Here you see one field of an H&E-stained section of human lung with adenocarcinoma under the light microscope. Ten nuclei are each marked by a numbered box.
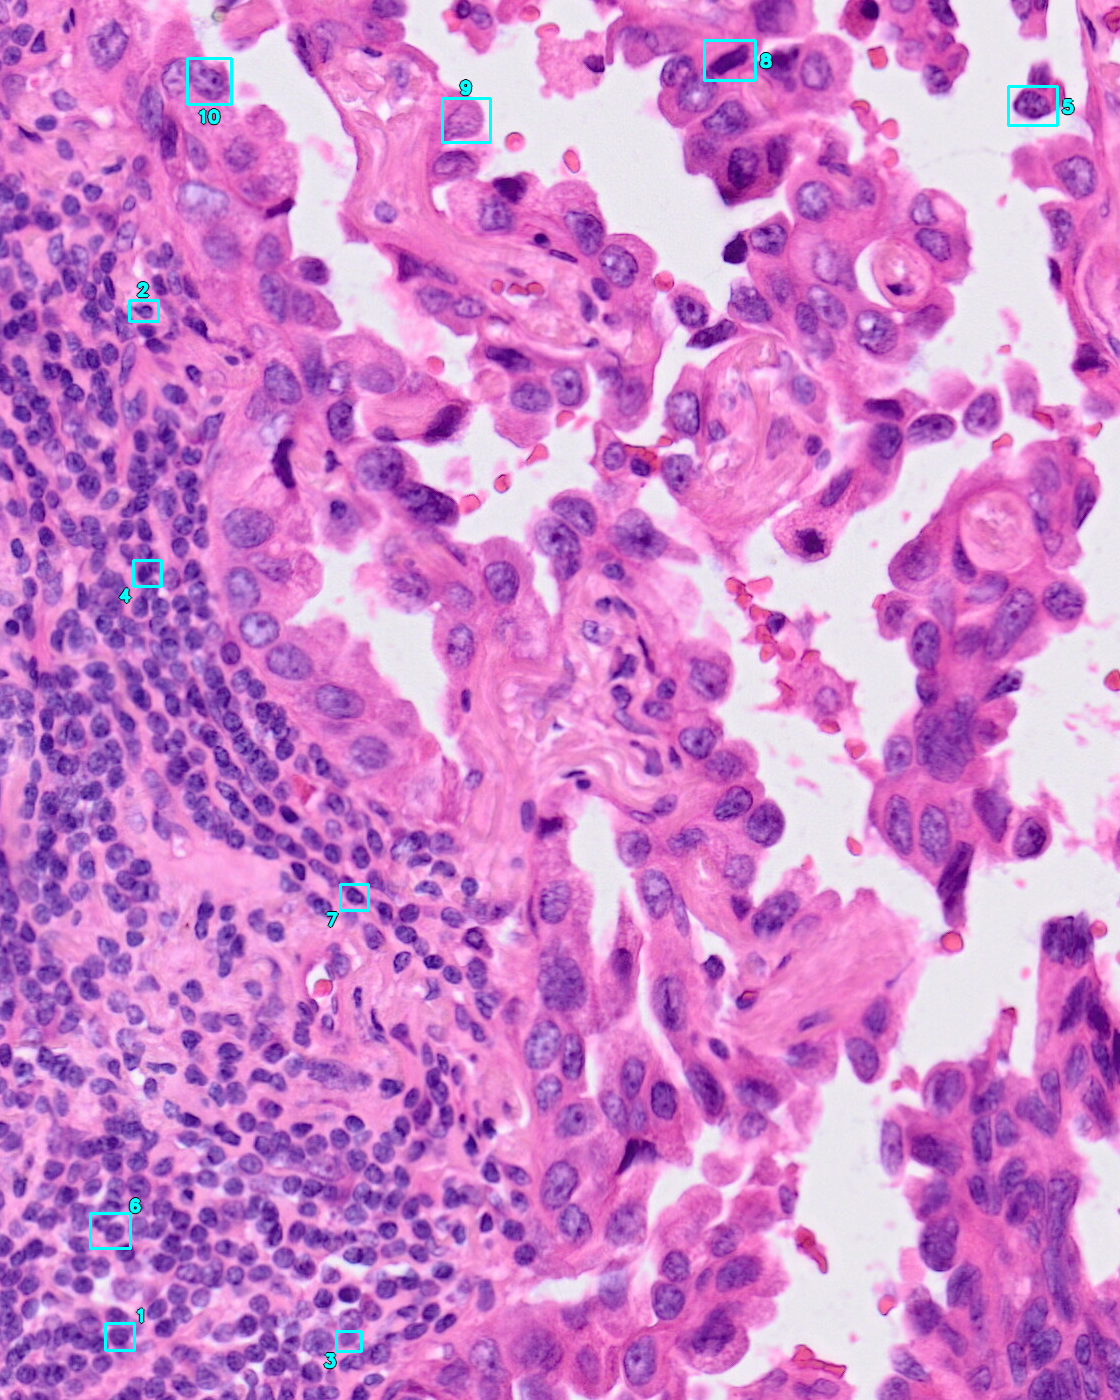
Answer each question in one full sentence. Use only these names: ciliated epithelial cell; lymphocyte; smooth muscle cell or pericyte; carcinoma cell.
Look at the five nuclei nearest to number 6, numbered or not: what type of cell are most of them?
The majority of the five nuclei closest to number 6 belong to lymphocytes.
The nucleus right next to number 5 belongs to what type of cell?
The nearest nucleus to number 5 belongs to a carcinoma cell.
